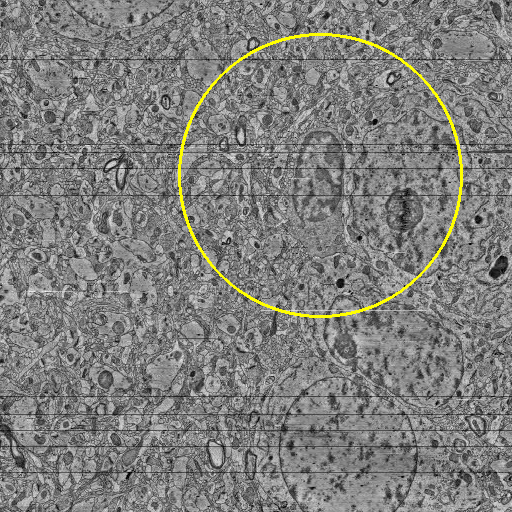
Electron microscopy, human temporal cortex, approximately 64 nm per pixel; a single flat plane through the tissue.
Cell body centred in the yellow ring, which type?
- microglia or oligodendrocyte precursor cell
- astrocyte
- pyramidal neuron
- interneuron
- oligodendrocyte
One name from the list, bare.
oligodendrocyte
